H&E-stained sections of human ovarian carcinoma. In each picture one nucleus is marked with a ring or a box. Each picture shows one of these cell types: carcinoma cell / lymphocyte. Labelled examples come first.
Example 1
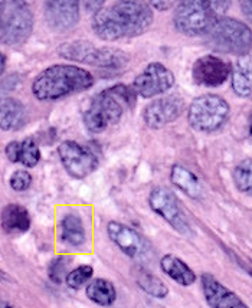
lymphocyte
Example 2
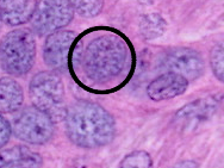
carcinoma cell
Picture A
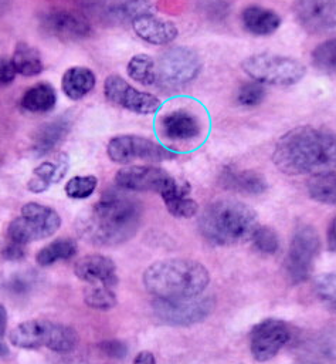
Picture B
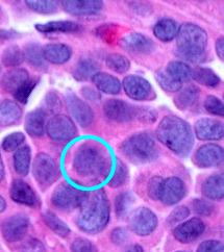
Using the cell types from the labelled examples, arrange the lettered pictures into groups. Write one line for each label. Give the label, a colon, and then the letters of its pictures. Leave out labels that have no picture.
carcinoma cell: B
lymphocyte: A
